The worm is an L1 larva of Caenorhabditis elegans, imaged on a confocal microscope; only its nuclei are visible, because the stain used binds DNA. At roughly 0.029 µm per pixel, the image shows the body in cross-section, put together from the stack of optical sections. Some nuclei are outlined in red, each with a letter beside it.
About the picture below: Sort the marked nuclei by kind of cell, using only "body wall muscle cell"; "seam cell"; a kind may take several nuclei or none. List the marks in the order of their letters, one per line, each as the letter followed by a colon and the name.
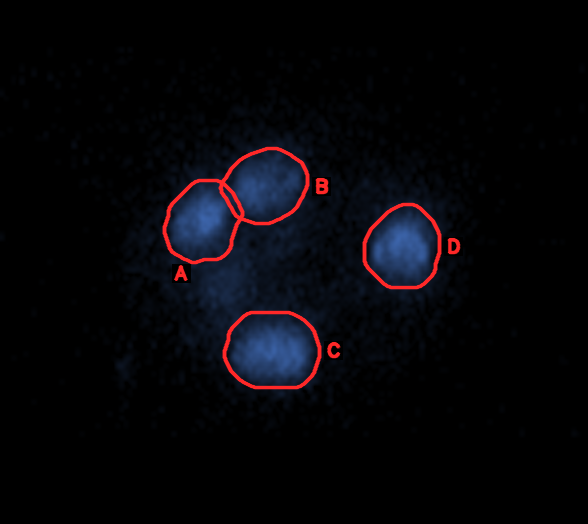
A: body wall muscle cell
B: seam cell
C: seam cell
D: body wall muscle cell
